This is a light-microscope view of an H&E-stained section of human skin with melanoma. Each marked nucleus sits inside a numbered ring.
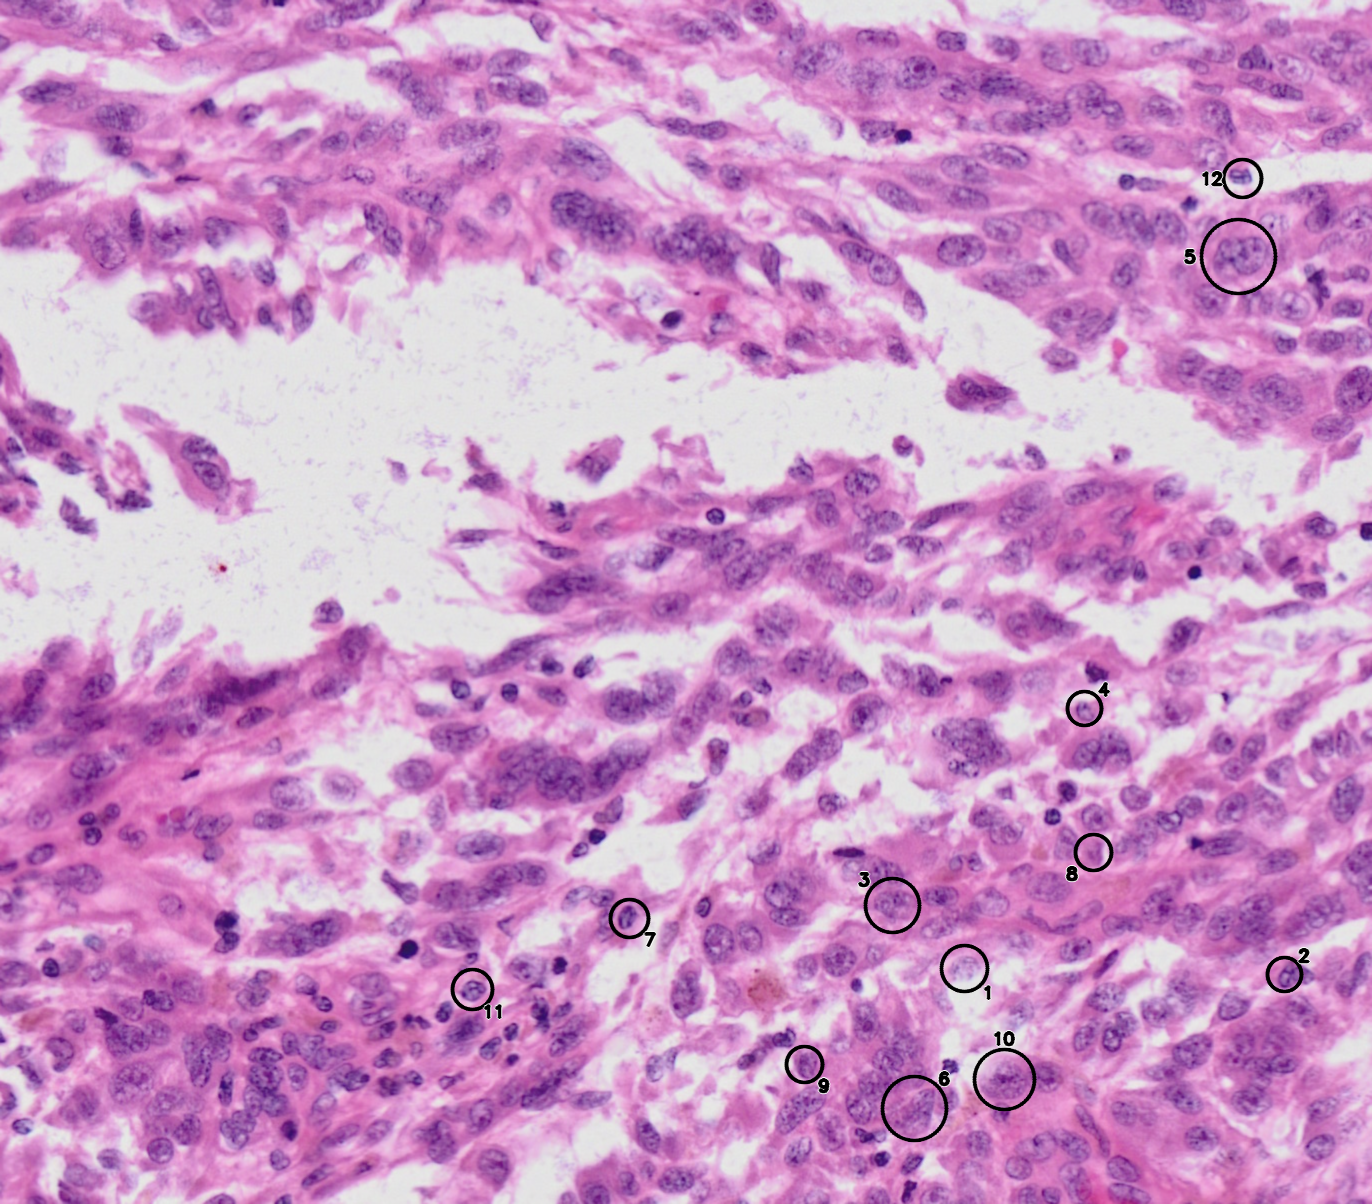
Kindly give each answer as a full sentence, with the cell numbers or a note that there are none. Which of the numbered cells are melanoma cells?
Within the section, cells numbered 1, 3, 5, 6, 8, 9 and 10 are melanoma cells.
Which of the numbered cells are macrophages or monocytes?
The cells carrying labels 2 and 4 are macrophages or monocytes.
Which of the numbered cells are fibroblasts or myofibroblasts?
With respect to the numbered cells, none are fibroblasts or myofibroblasts.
